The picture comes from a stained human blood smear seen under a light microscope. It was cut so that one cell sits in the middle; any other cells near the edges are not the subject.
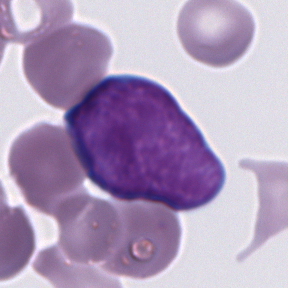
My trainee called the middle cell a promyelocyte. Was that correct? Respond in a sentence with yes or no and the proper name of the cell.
No, in the middle of the crop there is a myeloblast rather than a promyelocyte.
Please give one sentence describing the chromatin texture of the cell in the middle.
Chromatin texture is fine, and coarse clumps are absent.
